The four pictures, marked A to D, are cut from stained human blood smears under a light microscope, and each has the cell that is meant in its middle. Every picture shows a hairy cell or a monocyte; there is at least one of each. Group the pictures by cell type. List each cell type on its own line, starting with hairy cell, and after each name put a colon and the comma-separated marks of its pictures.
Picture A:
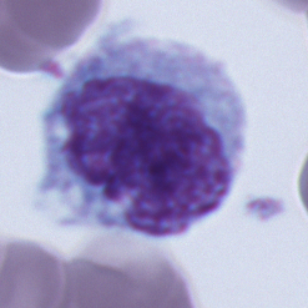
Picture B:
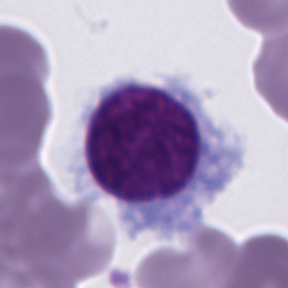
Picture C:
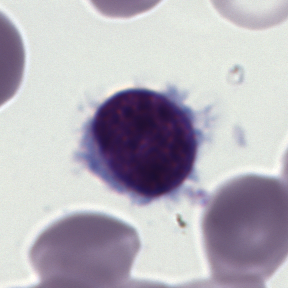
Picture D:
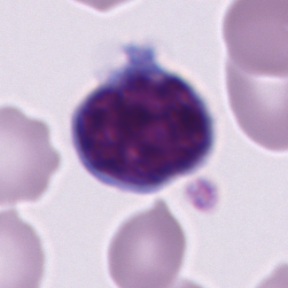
hairy cell: B, C, D
monocyte: A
